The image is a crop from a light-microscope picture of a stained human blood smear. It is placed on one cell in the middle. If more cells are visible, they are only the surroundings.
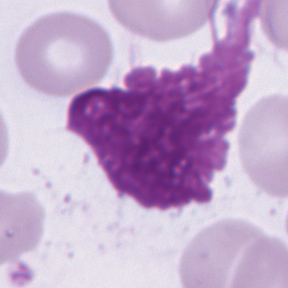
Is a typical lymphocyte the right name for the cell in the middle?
no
